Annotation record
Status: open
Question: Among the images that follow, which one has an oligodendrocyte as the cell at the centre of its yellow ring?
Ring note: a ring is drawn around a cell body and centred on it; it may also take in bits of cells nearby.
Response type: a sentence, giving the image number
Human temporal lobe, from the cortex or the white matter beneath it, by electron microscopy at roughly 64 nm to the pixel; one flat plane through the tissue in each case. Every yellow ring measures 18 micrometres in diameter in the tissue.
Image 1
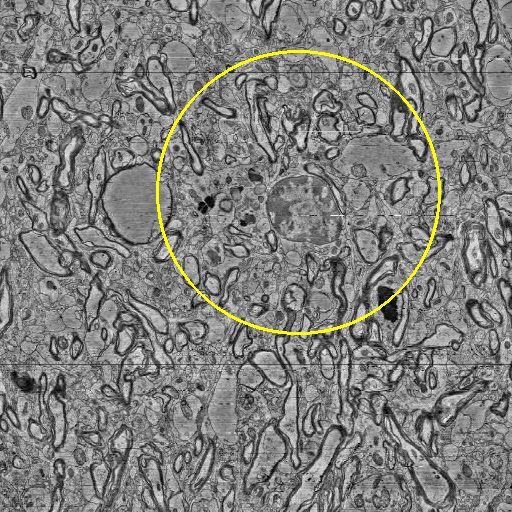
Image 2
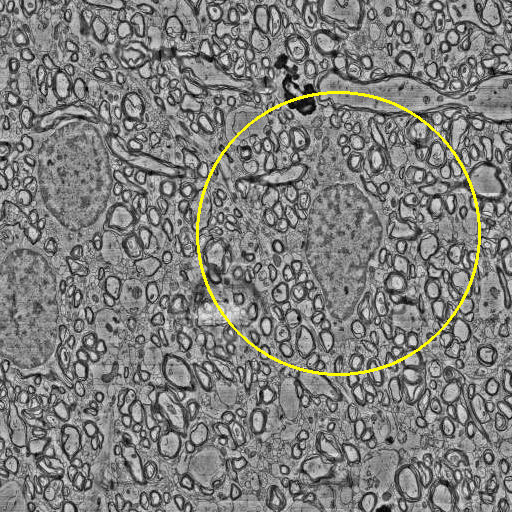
Image 2 shows it at the centre of its ring.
